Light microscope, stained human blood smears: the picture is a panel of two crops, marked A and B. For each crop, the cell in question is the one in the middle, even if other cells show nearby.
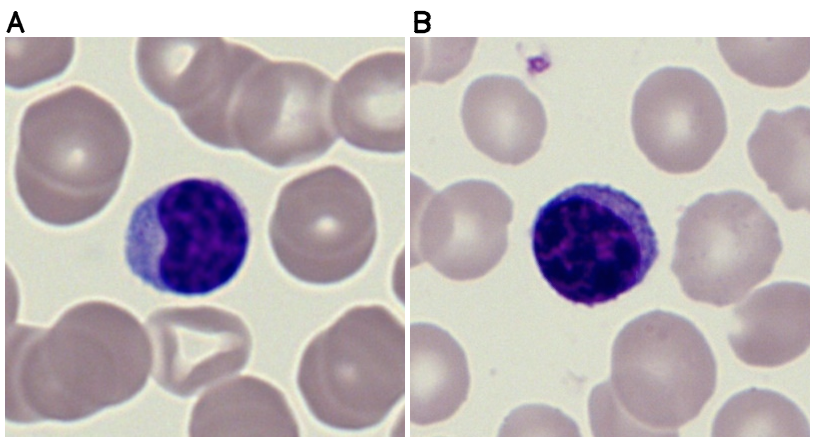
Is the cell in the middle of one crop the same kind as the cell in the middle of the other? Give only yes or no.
yes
